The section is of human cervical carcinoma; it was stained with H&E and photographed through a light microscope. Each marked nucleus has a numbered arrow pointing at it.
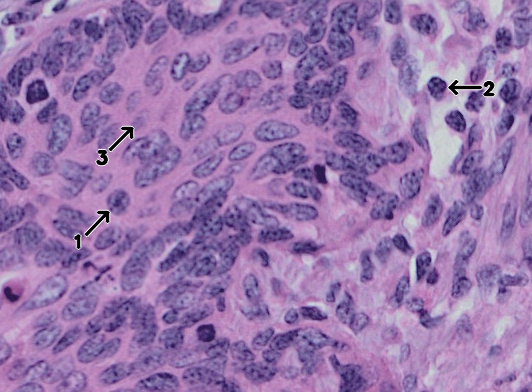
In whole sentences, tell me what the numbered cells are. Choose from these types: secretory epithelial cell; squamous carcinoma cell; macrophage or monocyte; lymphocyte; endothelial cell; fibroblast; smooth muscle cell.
Cells 1 and 3 are squamous carcinoma cells. Cell 2 is a lymphocyte.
